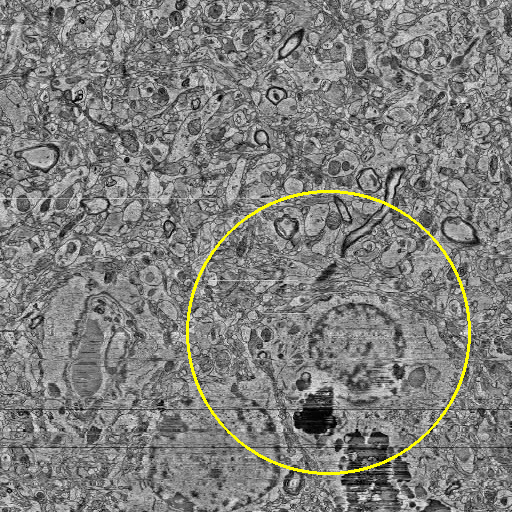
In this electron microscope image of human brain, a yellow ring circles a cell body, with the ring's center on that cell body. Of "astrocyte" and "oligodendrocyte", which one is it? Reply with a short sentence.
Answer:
It is an astrocyte at the center of the ring.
